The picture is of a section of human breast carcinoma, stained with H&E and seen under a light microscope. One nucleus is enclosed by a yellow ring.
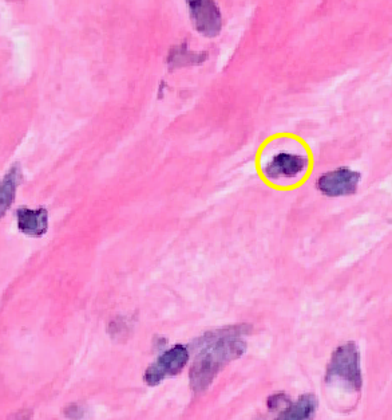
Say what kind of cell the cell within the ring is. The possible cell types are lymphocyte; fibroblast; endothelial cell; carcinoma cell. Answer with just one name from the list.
lymphocyte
